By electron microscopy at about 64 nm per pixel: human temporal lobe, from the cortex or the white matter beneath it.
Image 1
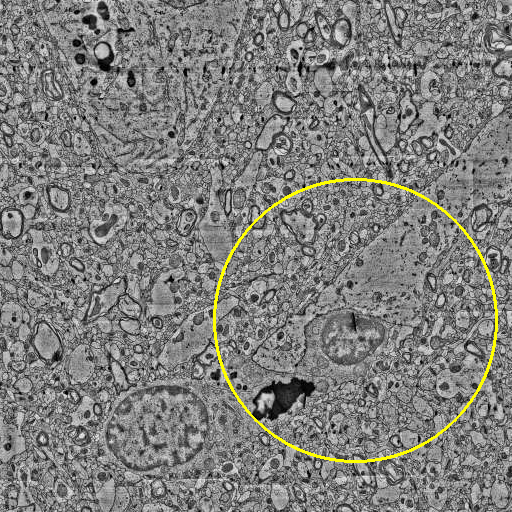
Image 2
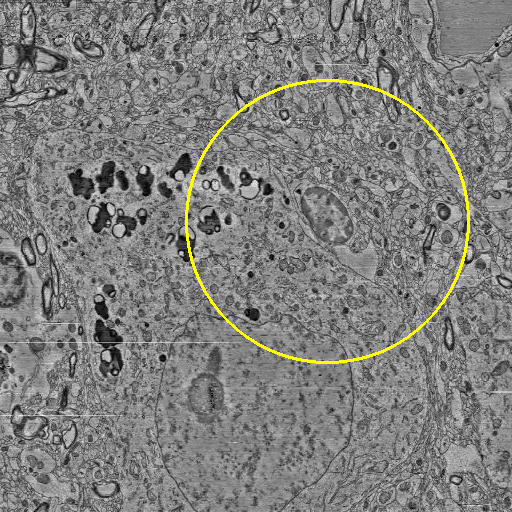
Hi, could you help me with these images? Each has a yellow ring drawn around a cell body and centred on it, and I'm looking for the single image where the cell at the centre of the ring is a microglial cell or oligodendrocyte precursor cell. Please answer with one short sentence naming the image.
It is Image 2 that has it at the centre of its ring.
